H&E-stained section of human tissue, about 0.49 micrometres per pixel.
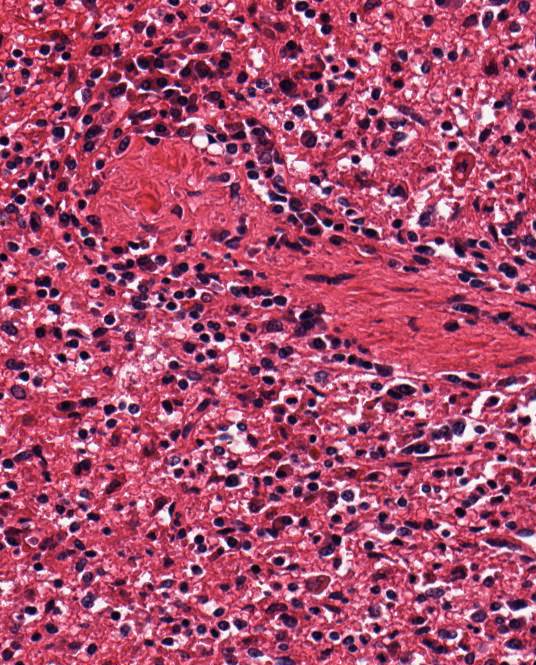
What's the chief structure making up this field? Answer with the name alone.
red pulp of the spleen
